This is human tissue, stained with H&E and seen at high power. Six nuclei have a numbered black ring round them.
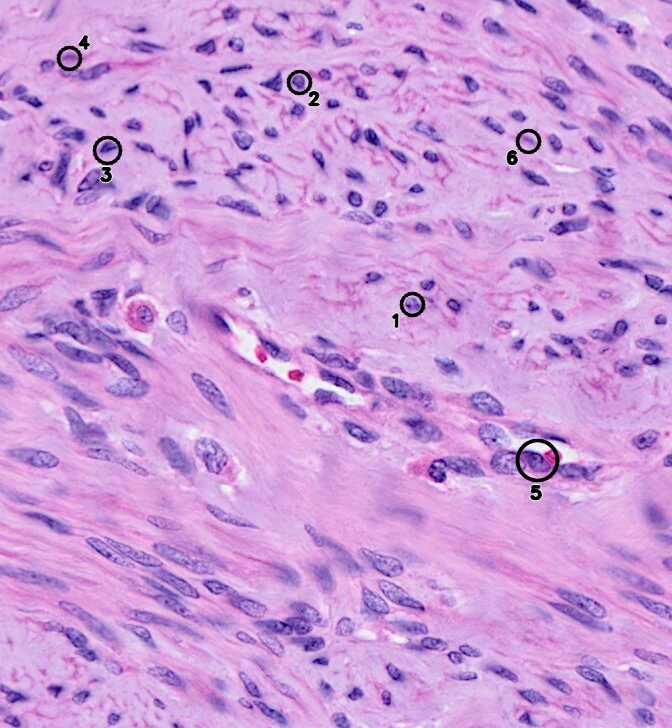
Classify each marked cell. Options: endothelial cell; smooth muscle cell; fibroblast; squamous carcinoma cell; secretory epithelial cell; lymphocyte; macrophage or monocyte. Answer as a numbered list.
1. smooth muscle cell
2. smooth muscle cell
3. fibroblast
4. smooth muscle cell
5. endothelial cell
6. smooth muscle cell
